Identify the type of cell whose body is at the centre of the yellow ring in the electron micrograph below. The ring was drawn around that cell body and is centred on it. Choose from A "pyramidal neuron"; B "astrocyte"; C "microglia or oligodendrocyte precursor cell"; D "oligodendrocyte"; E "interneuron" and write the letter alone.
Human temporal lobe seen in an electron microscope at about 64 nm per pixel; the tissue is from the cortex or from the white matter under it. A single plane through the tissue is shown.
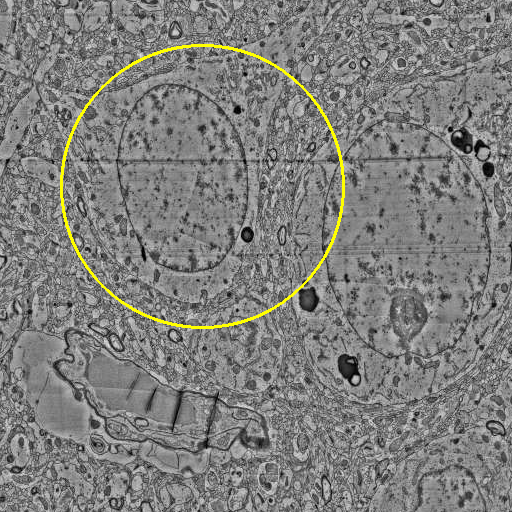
A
